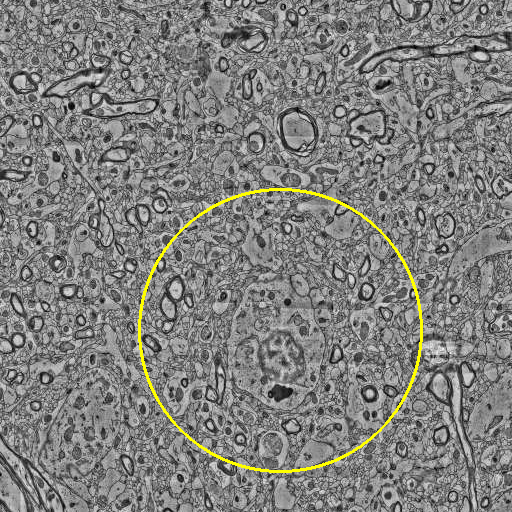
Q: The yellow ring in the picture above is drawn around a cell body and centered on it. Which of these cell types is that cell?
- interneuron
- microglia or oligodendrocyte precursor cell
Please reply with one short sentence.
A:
The cell body at the ring's center belongs to an interneuron.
